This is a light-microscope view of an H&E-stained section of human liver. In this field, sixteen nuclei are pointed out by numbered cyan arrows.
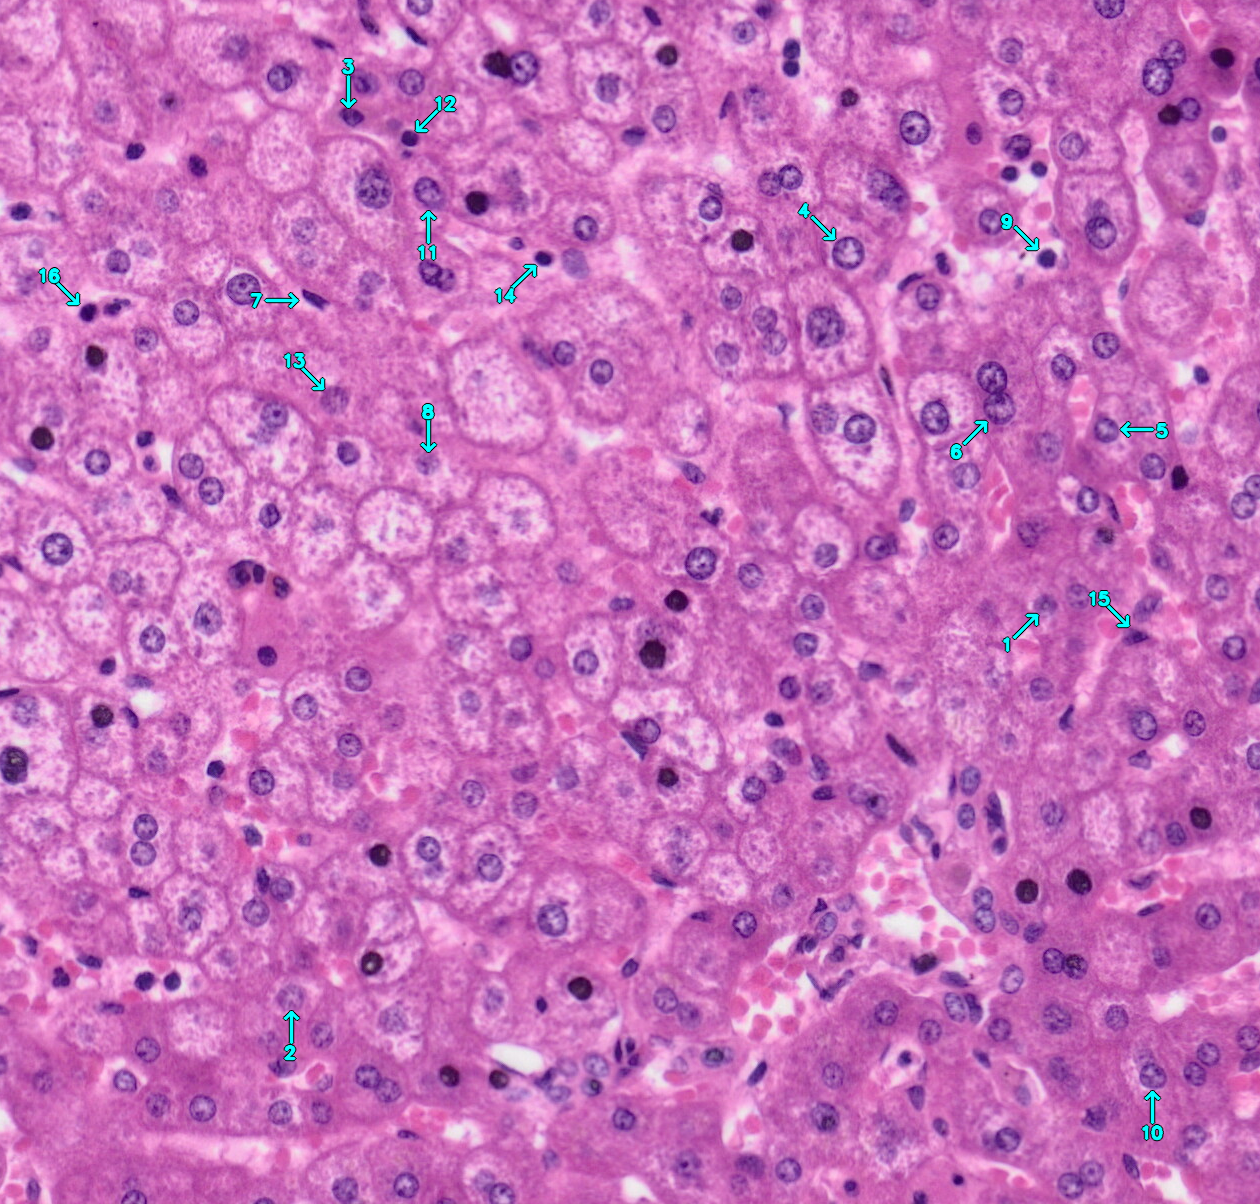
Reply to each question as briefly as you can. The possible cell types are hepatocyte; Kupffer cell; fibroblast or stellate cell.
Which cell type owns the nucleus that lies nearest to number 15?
Kupffer cell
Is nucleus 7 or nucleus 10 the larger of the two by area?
10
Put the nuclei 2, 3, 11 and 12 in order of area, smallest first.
12, 3, 2, 11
